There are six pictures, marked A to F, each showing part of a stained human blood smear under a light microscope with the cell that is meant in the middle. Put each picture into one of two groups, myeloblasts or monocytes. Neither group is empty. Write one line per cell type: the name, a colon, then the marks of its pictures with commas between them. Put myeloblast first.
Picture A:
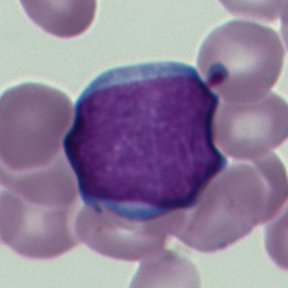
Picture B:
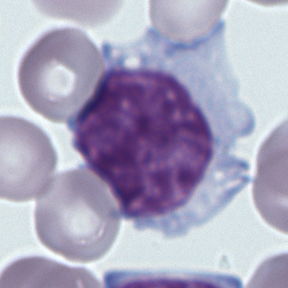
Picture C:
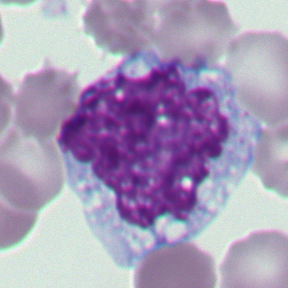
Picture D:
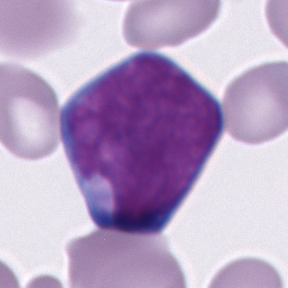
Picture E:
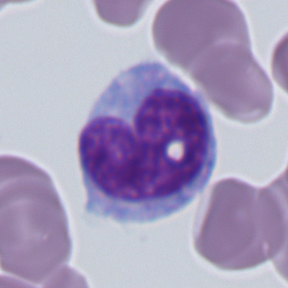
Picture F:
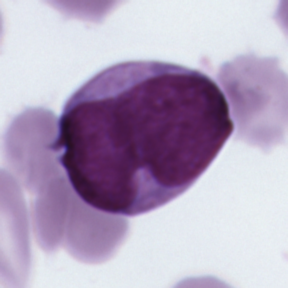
myeloblast: A, B, D, F
monocyte: C, E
